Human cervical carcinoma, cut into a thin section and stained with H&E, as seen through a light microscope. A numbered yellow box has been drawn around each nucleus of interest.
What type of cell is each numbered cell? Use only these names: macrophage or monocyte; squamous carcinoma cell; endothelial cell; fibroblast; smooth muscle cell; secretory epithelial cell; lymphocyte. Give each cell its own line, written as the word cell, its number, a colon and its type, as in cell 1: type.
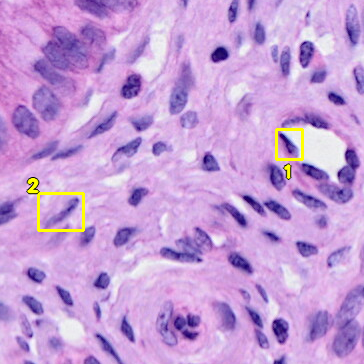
cell 1: endothelial cell
cell 2: fibroblast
